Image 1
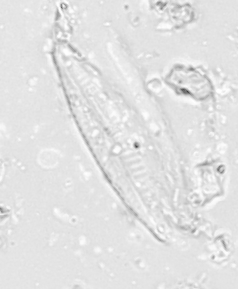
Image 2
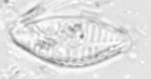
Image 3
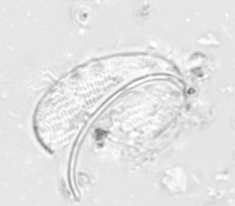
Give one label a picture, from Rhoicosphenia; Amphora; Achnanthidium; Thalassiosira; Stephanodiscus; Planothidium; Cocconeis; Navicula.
1. Navicula
2. Planothidium
3. Cocconeis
